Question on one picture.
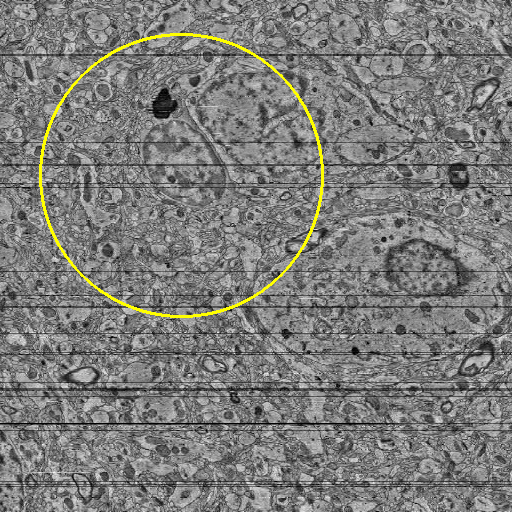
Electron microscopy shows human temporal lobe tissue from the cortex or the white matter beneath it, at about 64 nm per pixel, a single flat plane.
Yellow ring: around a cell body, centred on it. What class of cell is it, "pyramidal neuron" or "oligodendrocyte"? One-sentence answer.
This is an oligodendrocyte, the cell the ring is centred on.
